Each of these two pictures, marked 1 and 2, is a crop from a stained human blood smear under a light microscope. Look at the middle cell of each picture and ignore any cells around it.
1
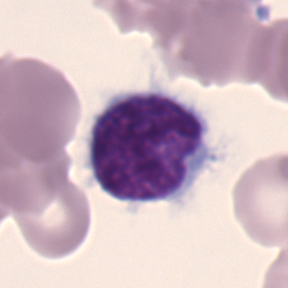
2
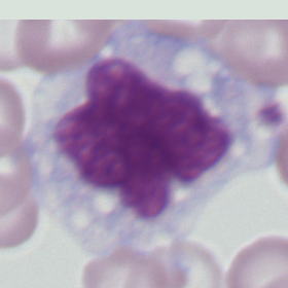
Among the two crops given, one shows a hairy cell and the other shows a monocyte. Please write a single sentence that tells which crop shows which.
The middle cell in crop 1 is a hairy cell; the middle cell in crop 2 is a monocyte.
